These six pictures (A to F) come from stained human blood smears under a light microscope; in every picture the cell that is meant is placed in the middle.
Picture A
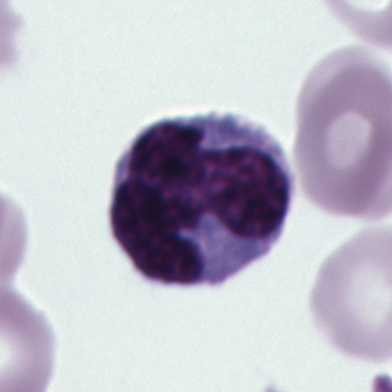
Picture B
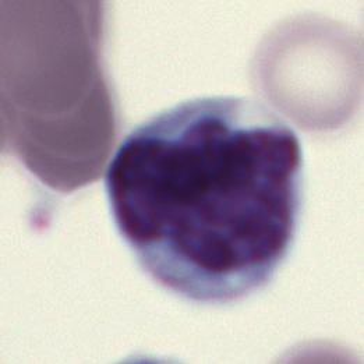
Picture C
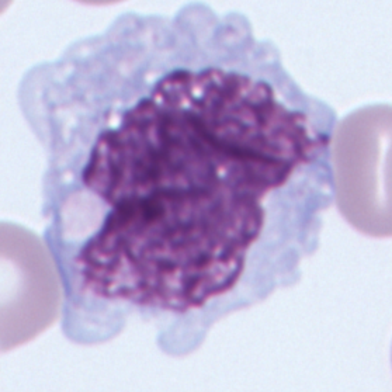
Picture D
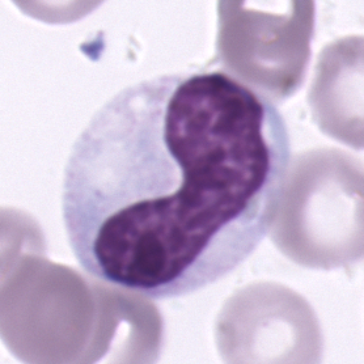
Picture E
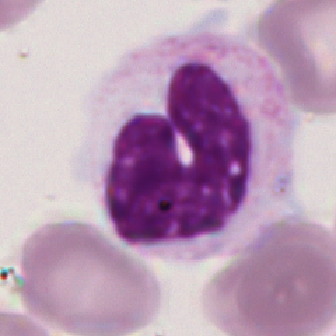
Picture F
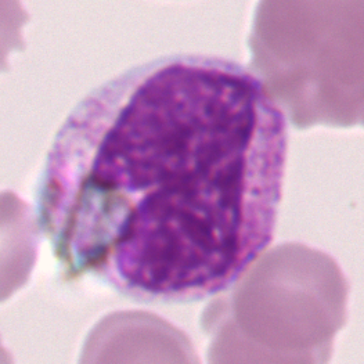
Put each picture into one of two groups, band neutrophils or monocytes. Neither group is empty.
A: monocyte
B: monocyte
C: monocyte
D: band neutrophil
E: band neutrophil
F: band neutrophil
